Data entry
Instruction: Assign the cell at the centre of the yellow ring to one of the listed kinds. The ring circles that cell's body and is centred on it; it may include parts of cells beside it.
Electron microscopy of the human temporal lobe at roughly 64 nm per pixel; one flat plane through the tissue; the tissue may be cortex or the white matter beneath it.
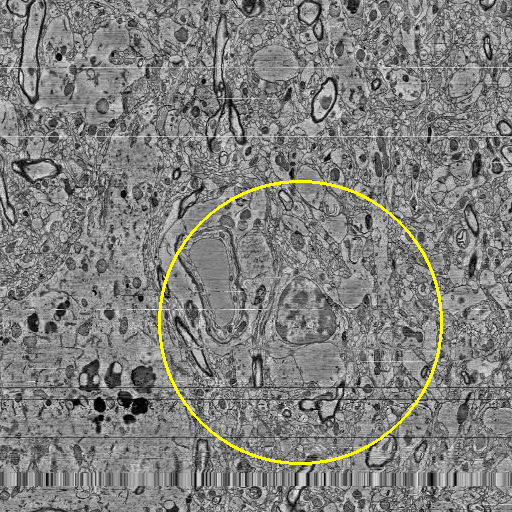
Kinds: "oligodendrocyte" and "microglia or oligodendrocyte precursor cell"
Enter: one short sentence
The centre of the ring falls on a microglial cell or oligodendrocyte precursor cell.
